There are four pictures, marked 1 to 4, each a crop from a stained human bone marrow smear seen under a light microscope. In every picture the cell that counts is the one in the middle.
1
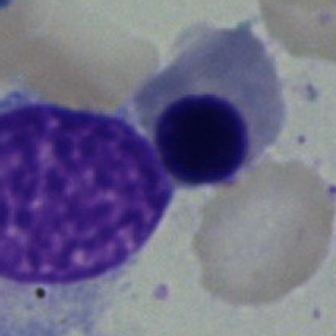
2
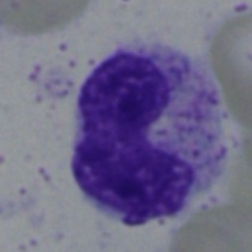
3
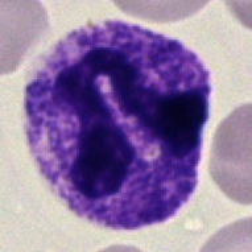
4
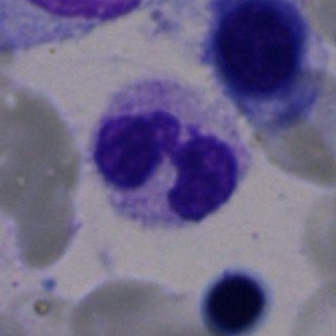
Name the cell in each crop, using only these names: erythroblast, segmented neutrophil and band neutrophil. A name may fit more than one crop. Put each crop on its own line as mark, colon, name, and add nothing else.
1: erythroblast
2: band neutrophil
3: segmented neutrophil
4: segmented neutrophil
